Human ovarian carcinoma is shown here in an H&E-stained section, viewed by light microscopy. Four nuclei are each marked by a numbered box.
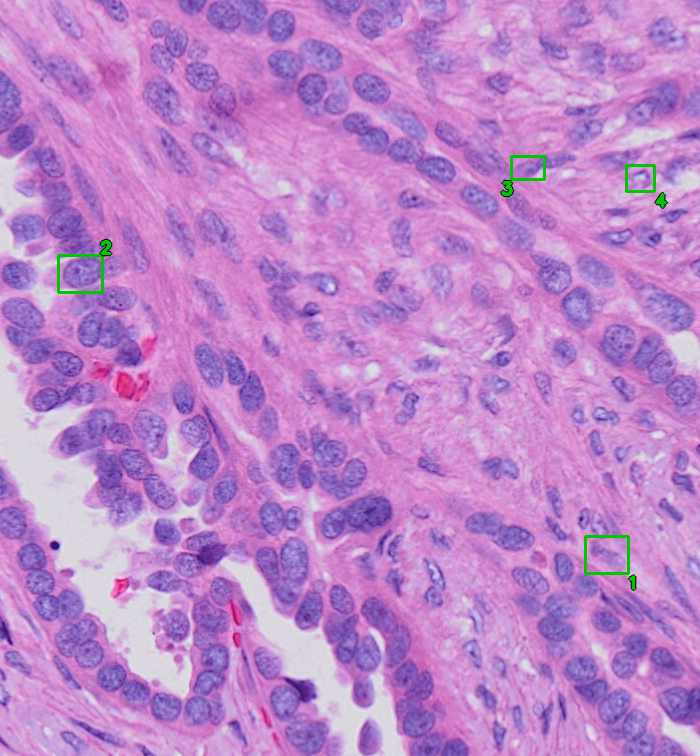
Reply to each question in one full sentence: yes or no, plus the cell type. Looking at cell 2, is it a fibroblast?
No, number 2 is not a fibroblast but a carcinoma cell.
